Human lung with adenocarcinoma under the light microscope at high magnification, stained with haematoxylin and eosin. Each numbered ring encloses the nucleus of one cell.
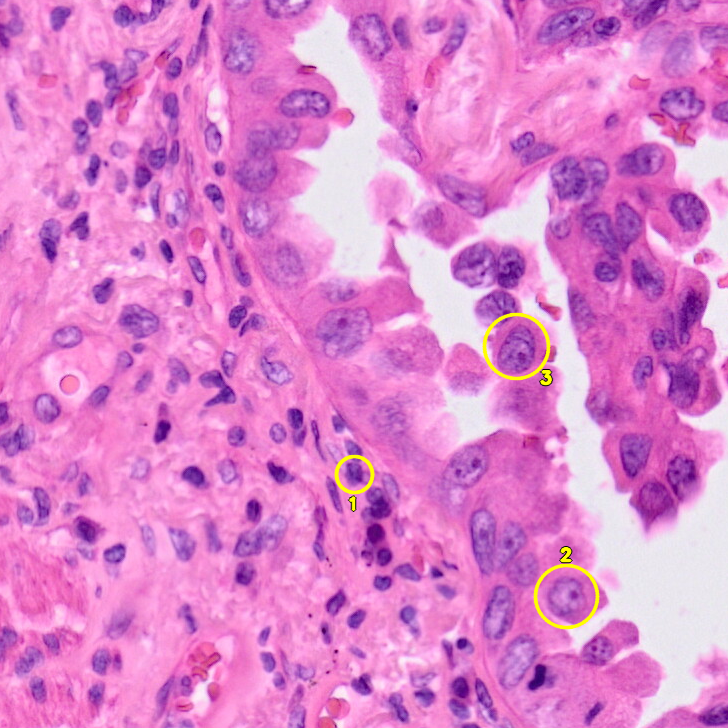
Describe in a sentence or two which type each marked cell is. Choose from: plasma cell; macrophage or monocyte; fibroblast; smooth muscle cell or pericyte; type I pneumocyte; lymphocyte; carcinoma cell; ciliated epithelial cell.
Cell 1 is a lymphocyte, cell 2 is a carcinoma cell and cell 3 is a carcinoma cell.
